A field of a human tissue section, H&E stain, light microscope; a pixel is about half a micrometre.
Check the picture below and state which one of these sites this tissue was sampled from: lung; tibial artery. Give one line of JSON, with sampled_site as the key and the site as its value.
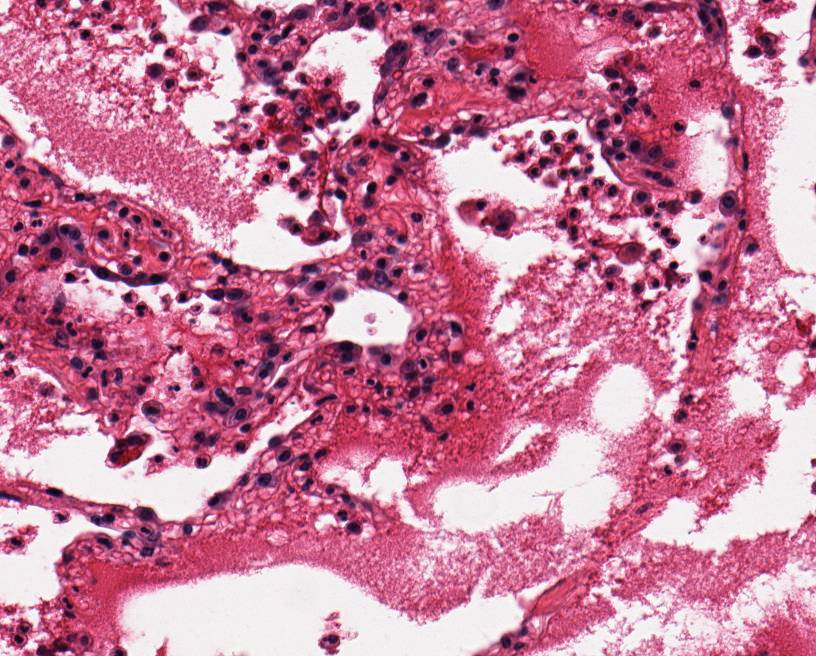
{"sampled_site": "lung"}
